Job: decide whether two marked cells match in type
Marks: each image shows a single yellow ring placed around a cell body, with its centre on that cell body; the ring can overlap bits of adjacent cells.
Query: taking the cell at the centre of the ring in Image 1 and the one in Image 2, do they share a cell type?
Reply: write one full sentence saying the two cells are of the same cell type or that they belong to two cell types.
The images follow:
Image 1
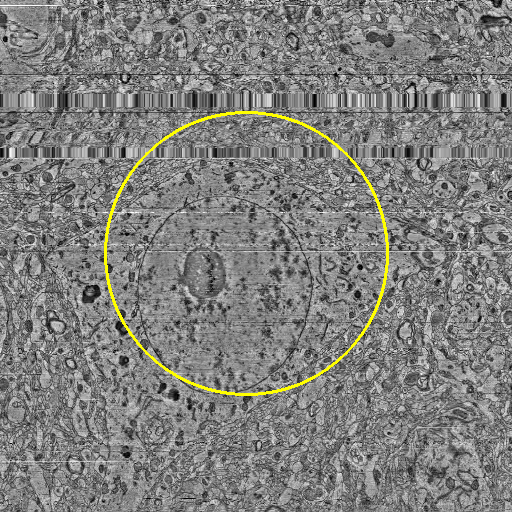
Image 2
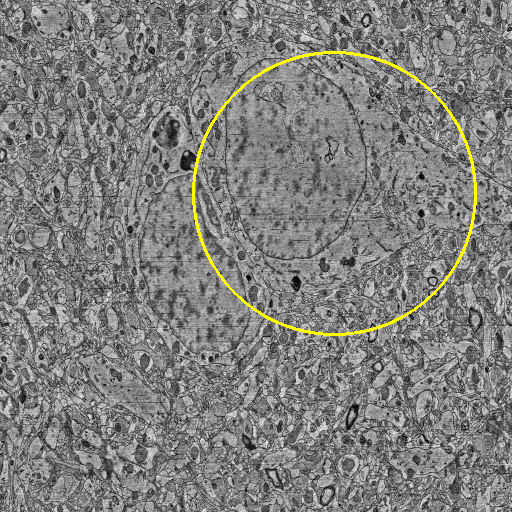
The cells at the ring centres in Image 1 and Image 2 are of the same cell type.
